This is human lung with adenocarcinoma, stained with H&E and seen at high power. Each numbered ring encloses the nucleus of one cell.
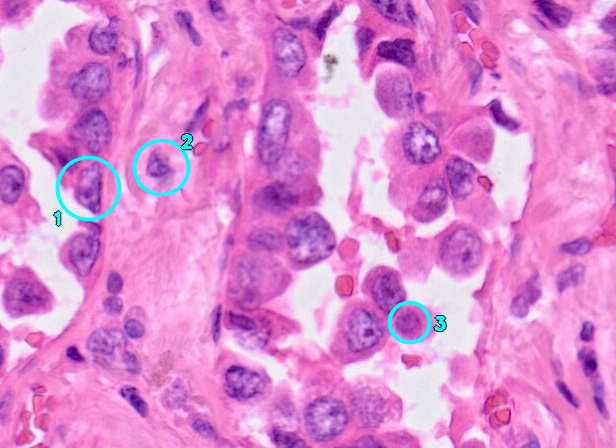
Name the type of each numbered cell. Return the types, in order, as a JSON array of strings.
["carcinoma cell", "fibroblast", "carcinoma cell"]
